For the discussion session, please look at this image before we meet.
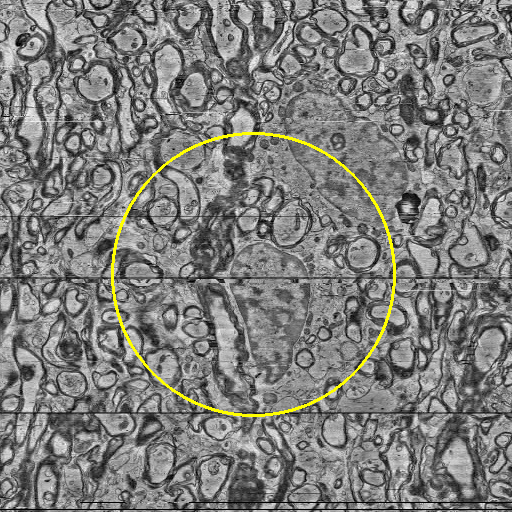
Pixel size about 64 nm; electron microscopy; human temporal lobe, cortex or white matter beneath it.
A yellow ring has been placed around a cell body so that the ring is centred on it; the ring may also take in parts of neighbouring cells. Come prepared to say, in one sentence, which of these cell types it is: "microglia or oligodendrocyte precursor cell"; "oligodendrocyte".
The cell centred in the ring is a microglial cell or oligodendrocyte precursor cell.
